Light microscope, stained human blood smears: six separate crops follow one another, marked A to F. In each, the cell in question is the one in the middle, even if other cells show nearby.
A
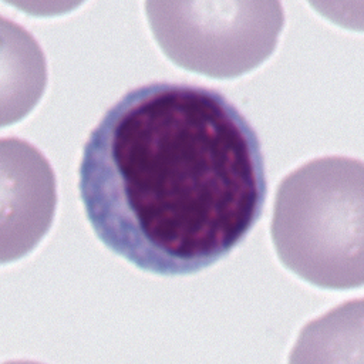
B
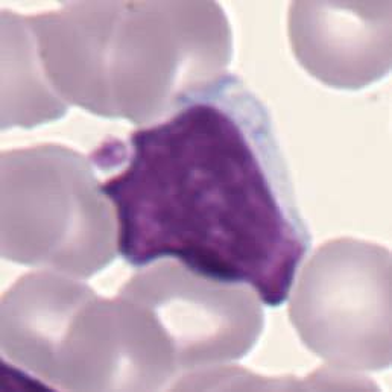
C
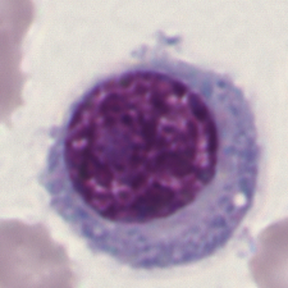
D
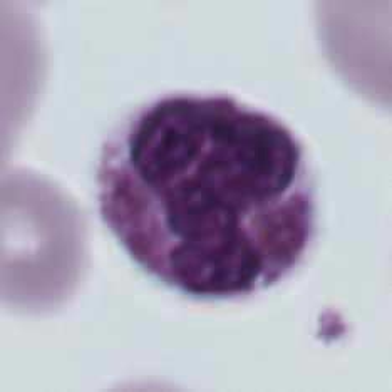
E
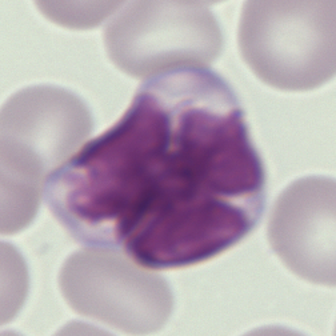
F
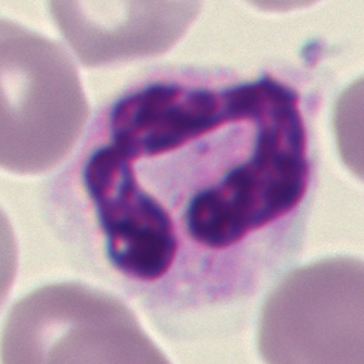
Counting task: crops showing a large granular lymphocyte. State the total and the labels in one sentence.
The one crop that shows a large granular lymphocyte is crop E.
